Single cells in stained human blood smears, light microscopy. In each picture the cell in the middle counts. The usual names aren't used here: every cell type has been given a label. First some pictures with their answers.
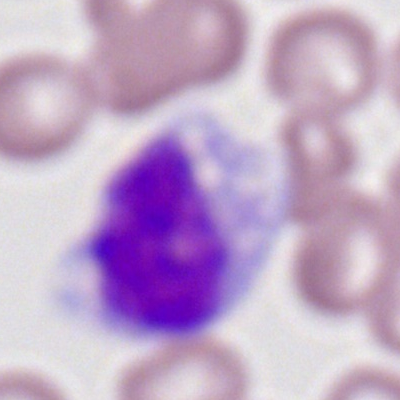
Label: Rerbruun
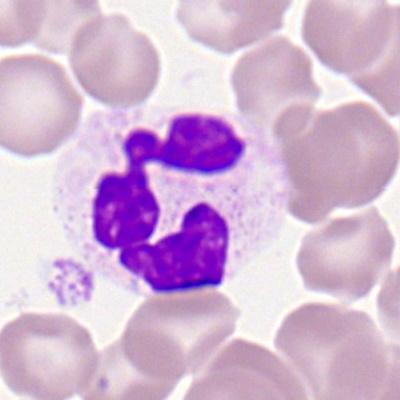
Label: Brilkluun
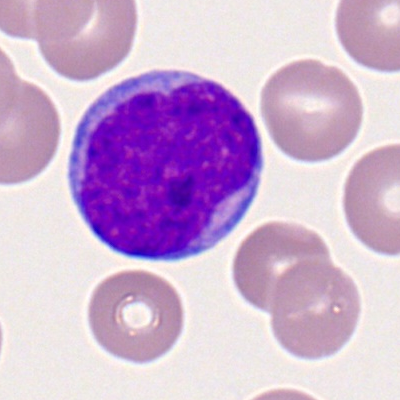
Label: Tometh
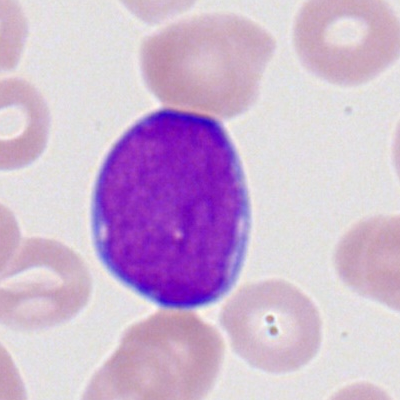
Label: Tometh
